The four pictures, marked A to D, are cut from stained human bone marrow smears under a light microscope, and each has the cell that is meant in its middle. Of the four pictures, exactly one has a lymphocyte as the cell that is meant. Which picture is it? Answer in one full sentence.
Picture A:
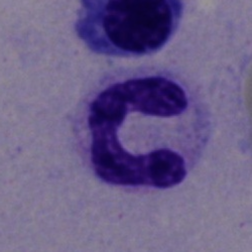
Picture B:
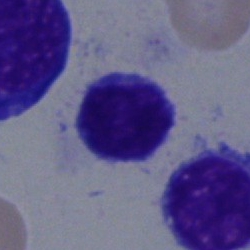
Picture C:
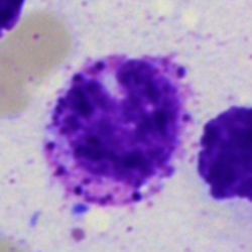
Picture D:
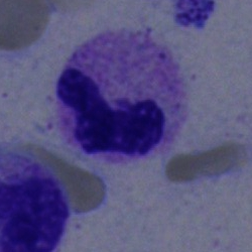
Picture B shows the lymphocyte.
